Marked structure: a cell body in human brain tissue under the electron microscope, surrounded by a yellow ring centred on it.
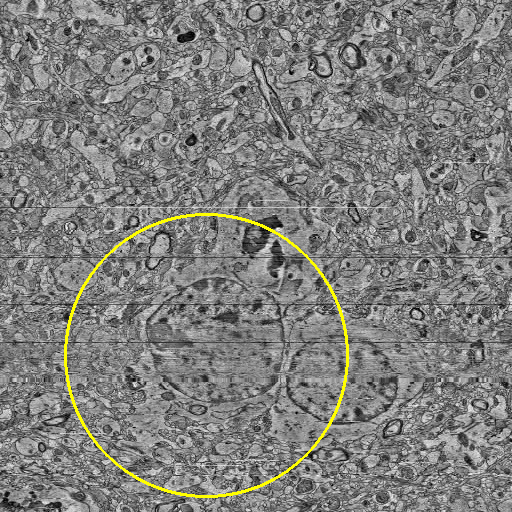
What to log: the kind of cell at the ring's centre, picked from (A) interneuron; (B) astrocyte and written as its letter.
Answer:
B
